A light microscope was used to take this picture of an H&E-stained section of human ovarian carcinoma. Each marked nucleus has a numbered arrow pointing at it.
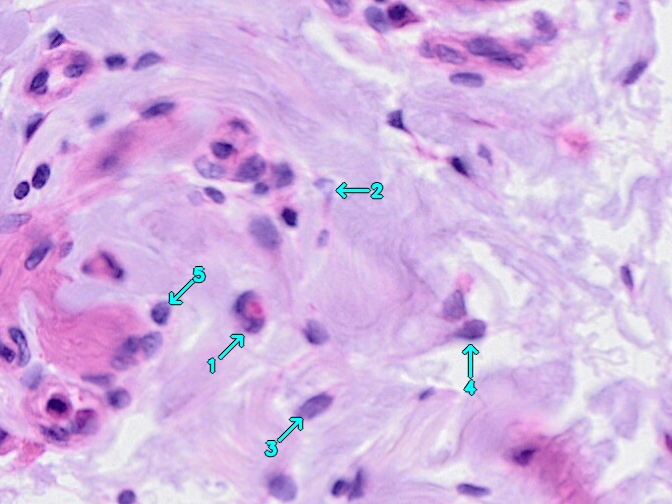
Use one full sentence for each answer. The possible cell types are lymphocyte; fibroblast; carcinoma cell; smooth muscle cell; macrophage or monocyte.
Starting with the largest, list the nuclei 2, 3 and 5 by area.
Largest first, the order by area is 3, 5, 2.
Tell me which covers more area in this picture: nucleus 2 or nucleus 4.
Nucleus 4 covers more area, about 1.5 times as much as nucleus 2.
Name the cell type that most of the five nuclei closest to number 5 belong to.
The majority of the five nuclei closest to number 5 belong to smooth muscle cells.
